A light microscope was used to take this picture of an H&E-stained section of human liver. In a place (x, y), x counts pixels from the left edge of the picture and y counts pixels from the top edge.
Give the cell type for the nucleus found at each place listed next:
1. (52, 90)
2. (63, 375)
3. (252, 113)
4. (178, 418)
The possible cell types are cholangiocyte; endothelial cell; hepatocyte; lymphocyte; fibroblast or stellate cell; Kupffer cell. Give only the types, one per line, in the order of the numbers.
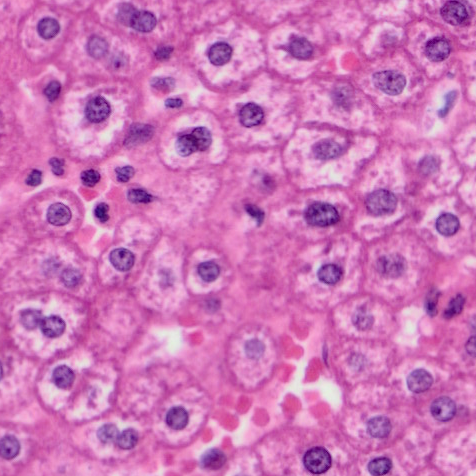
Kupffer cell
hepatocyte
hepatocyte
hepatocyte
